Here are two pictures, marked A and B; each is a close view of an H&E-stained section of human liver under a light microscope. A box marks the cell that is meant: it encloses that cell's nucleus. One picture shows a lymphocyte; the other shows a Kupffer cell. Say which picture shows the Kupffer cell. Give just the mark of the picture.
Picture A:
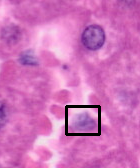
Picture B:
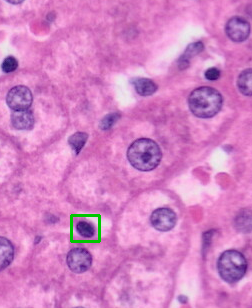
A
